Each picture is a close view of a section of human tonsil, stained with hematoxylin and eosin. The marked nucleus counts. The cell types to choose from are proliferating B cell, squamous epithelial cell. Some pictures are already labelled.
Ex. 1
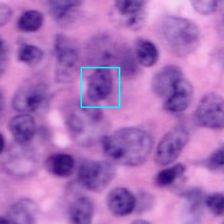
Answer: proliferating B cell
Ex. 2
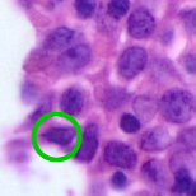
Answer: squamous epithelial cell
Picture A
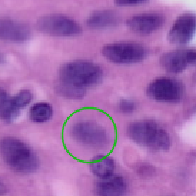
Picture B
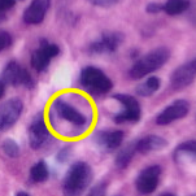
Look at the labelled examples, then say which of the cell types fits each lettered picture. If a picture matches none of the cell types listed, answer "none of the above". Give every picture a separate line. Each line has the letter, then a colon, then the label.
A: squamous epithelial cell
B: squamous epithelial cell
